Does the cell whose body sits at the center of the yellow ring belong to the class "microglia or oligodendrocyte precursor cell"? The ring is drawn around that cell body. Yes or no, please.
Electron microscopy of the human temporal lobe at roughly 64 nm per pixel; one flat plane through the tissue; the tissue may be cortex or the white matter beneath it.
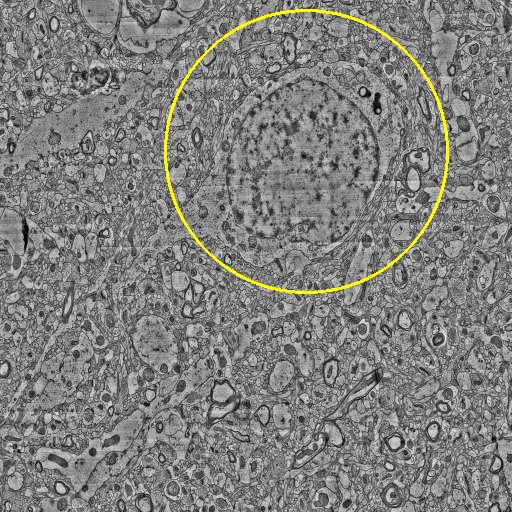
No, it belongs to another class.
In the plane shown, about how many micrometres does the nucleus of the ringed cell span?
In this plane, the nucleus of the cell at the centre of the ring is about 10 micrometres across.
